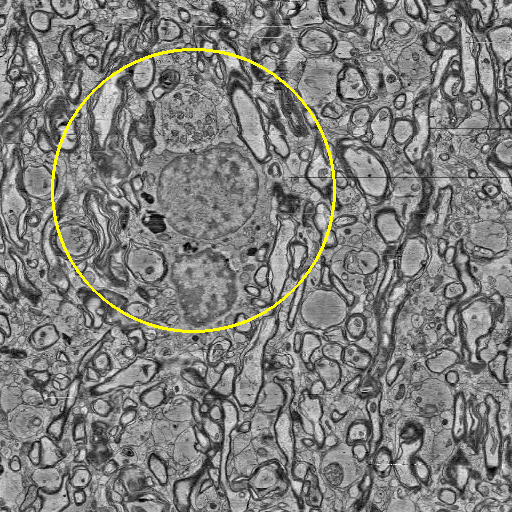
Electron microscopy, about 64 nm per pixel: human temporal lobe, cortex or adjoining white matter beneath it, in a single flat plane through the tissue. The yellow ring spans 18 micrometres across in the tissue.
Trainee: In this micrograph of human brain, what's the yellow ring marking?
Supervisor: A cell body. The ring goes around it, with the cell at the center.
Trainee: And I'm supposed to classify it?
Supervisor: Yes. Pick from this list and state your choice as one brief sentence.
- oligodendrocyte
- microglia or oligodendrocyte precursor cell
The cell at the ring's center is an oligodendrocyte.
